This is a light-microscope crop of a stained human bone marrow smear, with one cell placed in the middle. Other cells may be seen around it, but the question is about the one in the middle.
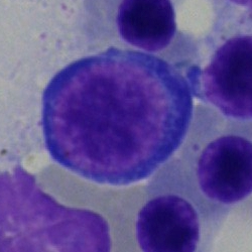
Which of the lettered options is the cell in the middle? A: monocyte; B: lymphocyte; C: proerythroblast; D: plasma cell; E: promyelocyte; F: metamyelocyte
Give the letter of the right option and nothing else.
C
